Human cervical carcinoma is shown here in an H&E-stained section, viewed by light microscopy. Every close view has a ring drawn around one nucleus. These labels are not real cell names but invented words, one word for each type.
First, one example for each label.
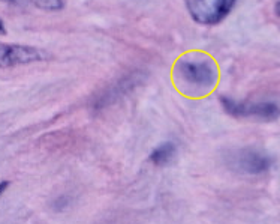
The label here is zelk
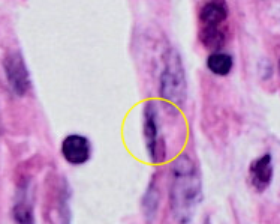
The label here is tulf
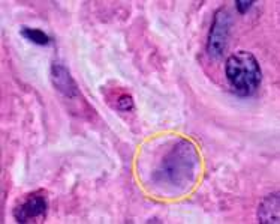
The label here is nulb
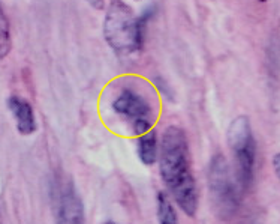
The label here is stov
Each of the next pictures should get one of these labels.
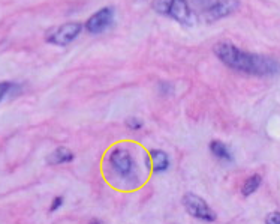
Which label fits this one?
zelk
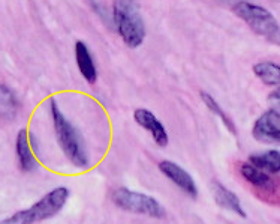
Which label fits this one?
nulb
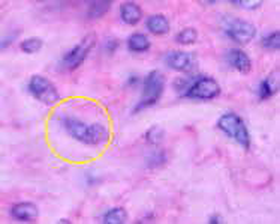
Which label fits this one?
zelk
